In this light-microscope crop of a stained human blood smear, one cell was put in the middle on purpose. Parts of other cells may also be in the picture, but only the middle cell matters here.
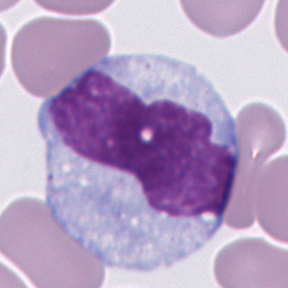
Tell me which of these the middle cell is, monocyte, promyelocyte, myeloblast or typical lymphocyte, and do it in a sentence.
As for the central cell, it is a monocyte.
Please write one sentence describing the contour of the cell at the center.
The outline traces a smooth curve with no projections along it.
